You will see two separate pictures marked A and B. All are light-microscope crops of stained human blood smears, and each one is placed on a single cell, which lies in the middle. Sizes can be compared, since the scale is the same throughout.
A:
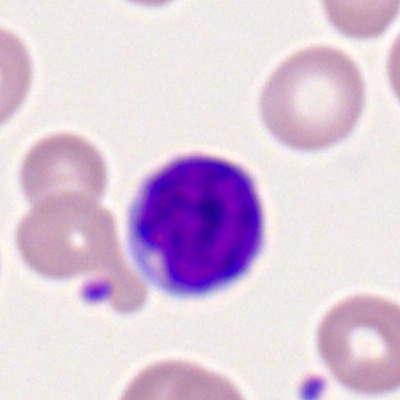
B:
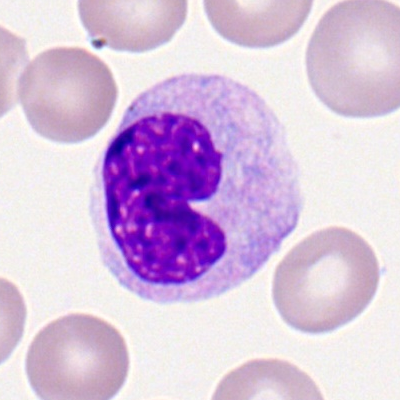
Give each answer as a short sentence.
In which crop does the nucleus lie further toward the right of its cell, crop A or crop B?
In crop A the nucleus is shifted more toward the right.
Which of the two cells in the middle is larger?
Larger is the cell in crop B, at roughly 2.5 times the area of the other.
